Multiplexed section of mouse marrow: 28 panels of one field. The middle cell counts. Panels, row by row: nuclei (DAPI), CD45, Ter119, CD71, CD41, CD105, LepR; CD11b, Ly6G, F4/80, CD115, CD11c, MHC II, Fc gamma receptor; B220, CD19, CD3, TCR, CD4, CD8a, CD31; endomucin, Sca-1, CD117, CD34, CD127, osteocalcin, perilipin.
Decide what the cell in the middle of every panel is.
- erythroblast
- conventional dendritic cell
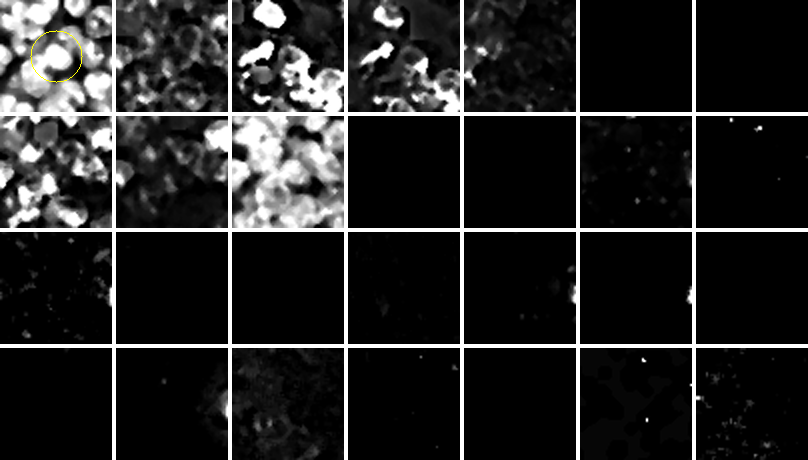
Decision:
erythroblast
